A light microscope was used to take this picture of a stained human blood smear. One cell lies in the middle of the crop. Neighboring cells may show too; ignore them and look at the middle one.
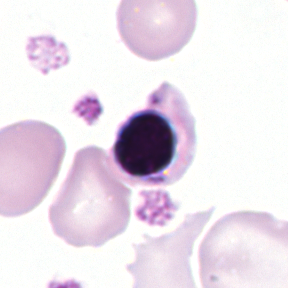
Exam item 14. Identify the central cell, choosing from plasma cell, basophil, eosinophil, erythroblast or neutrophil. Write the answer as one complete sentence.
The cell of interest, located centrally, is an erythroblast.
